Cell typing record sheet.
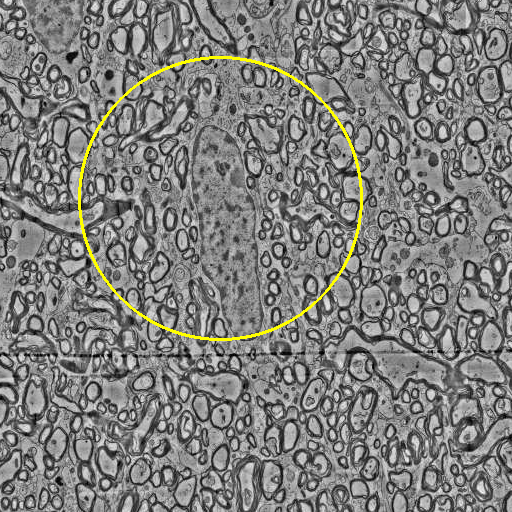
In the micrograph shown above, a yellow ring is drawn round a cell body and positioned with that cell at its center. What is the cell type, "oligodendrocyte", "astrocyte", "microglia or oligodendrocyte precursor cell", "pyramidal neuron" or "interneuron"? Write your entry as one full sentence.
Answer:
The cell body at the center of the ring belongs to a microglial cell or oligodendrocyte precursor cell.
